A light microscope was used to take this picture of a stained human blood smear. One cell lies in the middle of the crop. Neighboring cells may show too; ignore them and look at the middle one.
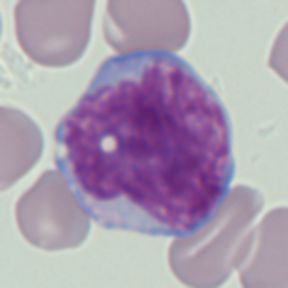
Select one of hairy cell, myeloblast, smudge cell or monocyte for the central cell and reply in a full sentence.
At the middle of the frame sits a myeloblast.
